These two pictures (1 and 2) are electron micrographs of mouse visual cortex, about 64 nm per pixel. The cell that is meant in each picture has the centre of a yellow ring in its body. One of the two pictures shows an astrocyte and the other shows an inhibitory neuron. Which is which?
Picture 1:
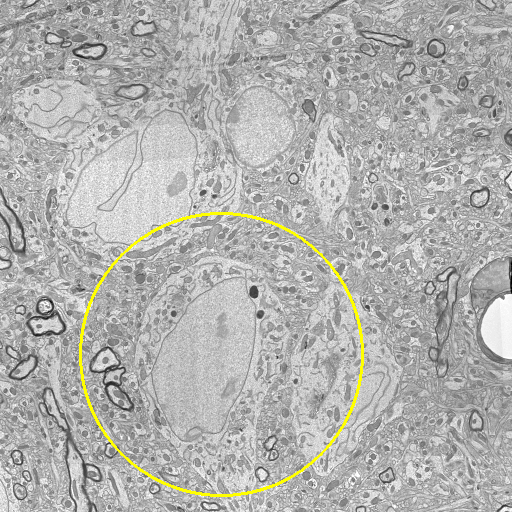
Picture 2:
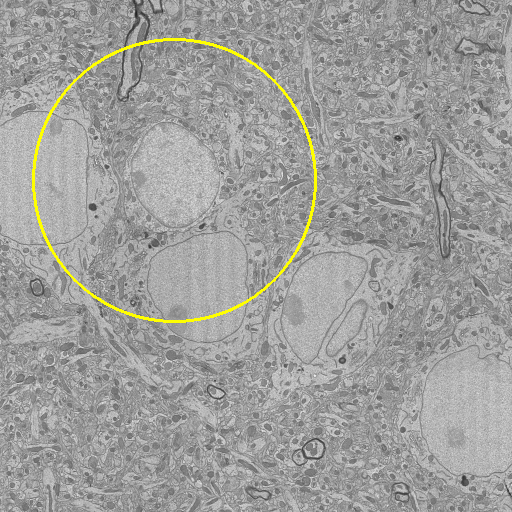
Picture 1 shows an inhibitory neuron and picture 2 shows an astrocyte.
